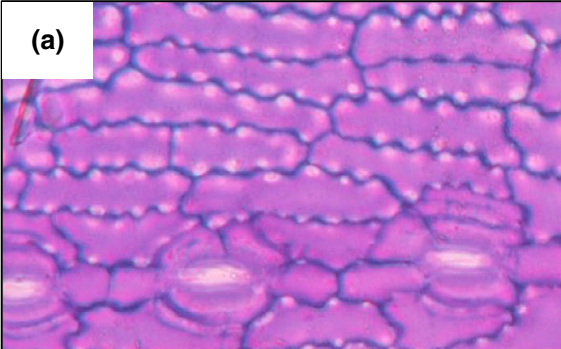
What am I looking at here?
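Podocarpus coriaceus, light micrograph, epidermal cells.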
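The pavement cells are long and rectangular, arranged in parallel rows like bricks, their end walls set at staggered positions. Their long walls are dark blue and beaded or finely wavy, with small bright dots along them. At the bottom, stomata appear as bright oval guard cell pairs with a central pore, lying with their long axes parallel to the rows of pavement cells and flanked by shorter, rounder neighbouring subsidiary cells.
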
